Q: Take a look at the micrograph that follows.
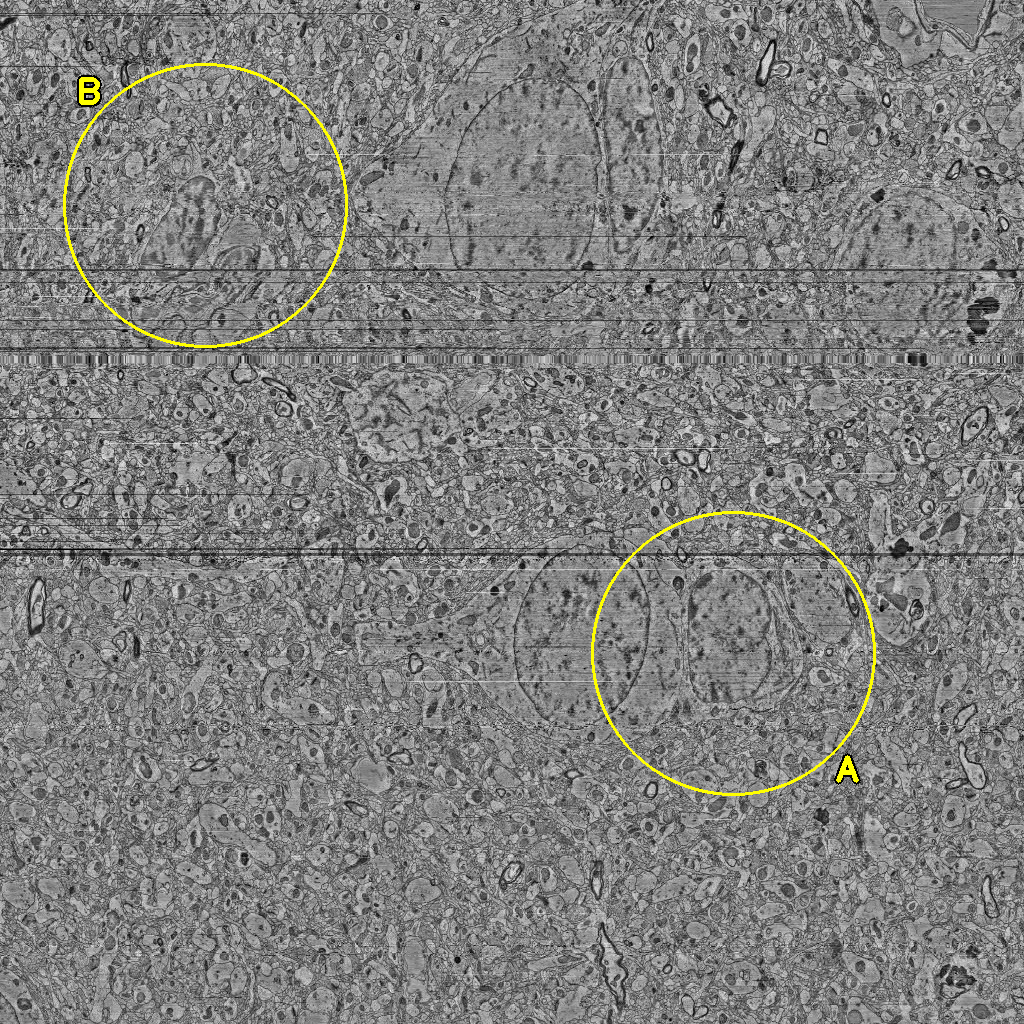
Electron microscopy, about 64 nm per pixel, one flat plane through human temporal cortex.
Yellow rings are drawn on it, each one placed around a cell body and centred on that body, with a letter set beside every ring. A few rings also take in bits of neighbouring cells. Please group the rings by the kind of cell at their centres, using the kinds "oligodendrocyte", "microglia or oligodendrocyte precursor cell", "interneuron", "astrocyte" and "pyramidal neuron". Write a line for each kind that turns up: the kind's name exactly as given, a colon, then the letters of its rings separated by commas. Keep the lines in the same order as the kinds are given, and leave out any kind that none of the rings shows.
microglia or oligodendrocyte precursor cell: B
interneuron: A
